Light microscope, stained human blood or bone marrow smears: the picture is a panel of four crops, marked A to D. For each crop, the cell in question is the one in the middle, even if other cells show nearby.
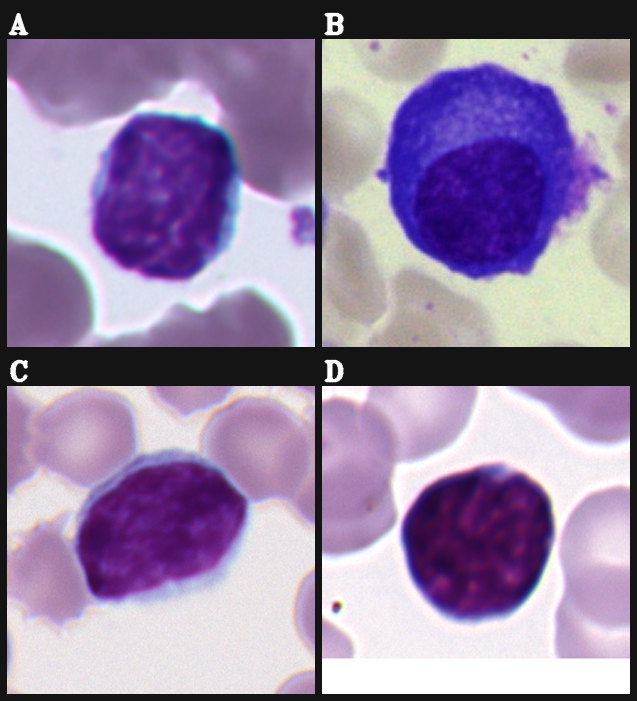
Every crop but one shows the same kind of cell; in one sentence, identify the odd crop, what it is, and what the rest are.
Crop B is a plasma cell, and the other crops all show lymphocytes.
